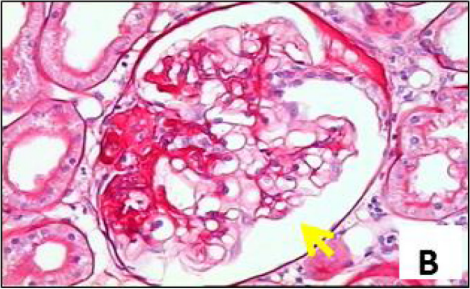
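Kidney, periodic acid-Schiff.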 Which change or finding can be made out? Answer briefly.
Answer: Glomerular sclerosis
